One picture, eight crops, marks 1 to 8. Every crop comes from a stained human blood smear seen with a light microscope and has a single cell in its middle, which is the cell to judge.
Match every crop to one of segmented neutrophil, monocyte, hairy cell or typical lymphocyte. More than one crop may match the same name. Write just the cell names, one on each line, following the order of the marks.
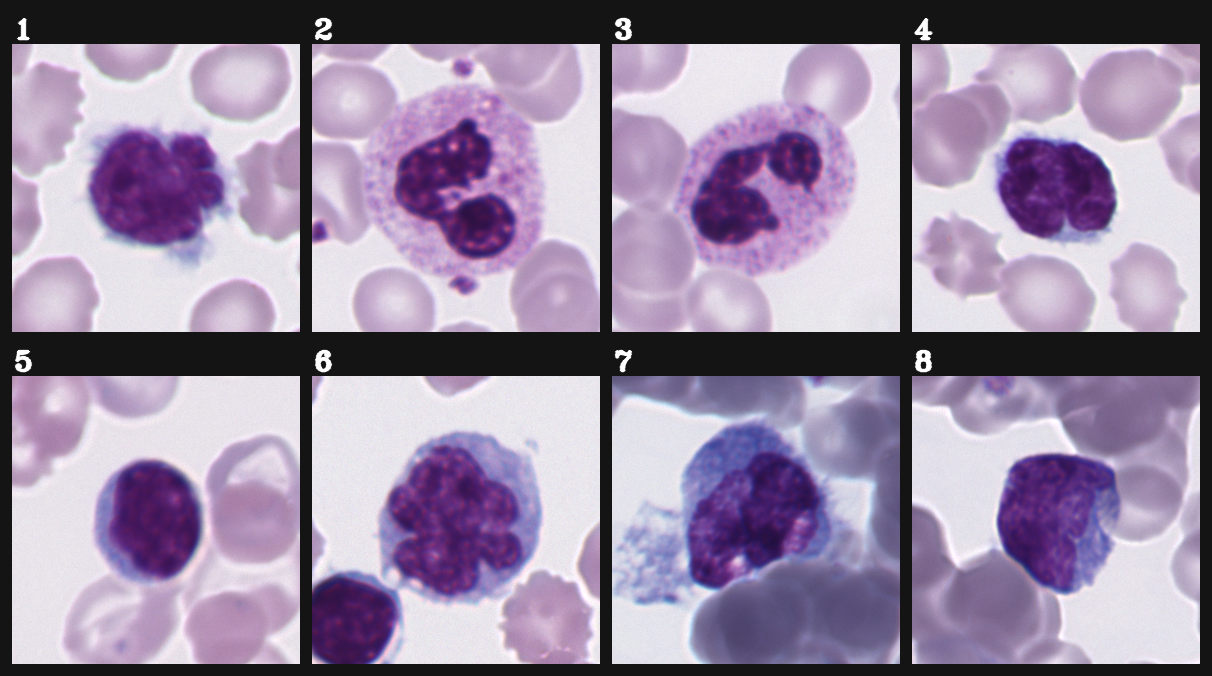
hairy cell
segmented neutrophil
segmented neutrophil
hairy cell
typical lymphocyte
monocyte
monocyte
monocyte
